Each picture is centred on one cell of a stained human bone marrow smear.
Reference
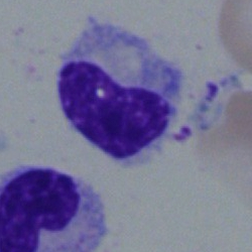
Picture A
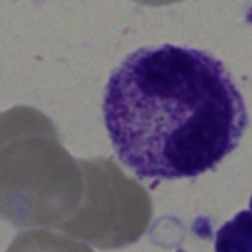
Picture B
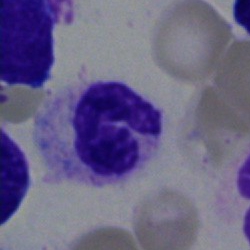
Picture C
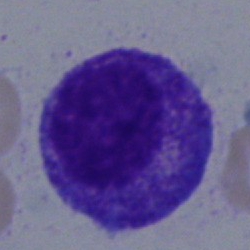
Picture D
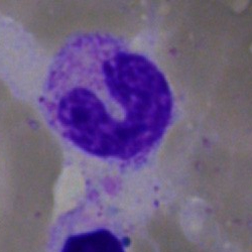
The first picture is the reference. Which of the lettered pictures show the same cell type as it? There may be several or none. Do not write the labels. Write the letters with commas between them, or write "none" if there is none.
A, D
